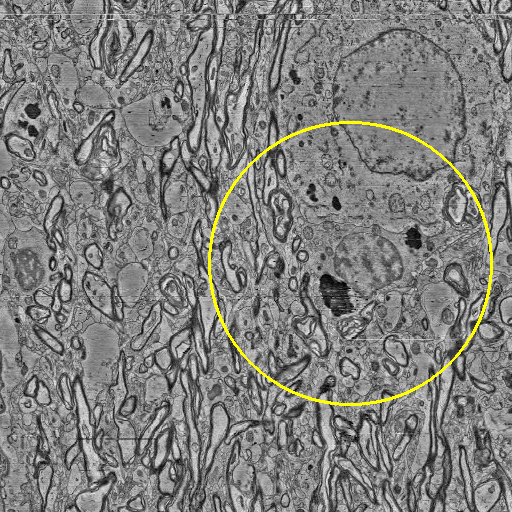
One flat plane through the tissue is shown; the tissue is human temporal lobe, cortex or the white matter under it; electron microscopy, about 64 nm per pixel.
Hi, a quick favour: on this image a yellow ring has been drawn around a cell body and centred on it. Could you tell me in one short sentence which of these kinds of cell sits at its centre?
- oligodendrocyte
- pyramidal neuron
The ring is centred on an oligodendrocyte.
